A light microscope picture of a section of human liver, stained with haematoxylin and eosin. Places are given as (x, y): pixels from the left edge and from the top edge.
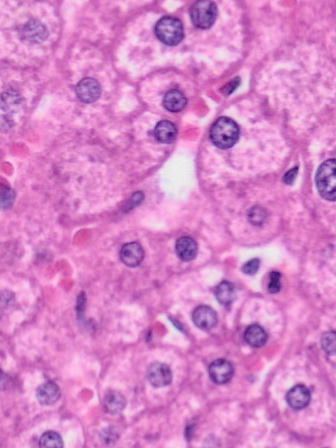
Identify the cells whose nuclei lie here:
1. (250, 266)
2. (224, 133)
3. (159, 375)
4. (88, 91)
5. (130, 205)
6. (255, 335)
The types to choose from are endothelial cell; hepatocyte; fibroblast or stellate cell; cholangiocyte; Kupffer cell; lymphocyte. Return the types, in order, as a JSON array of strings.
["lymphocyte", "hepatocyte", "hepatocyte", "hepatocyte", "Kupffer cell", "hepatocyte"]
